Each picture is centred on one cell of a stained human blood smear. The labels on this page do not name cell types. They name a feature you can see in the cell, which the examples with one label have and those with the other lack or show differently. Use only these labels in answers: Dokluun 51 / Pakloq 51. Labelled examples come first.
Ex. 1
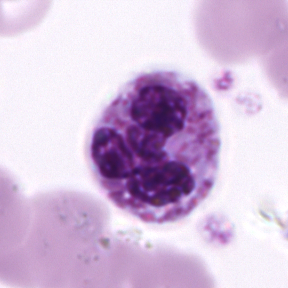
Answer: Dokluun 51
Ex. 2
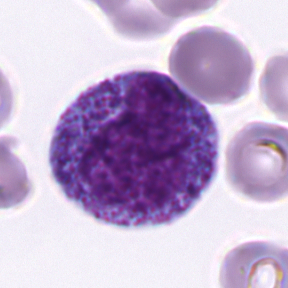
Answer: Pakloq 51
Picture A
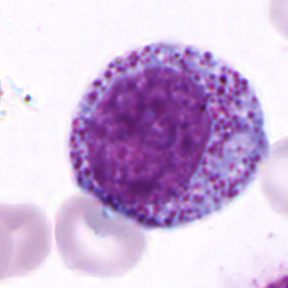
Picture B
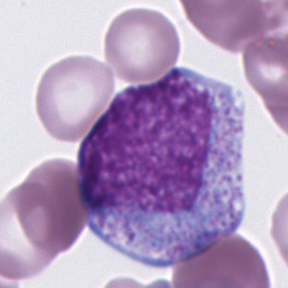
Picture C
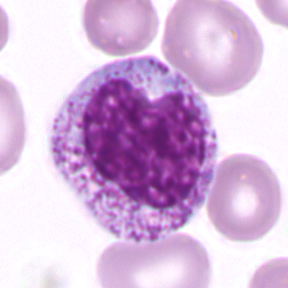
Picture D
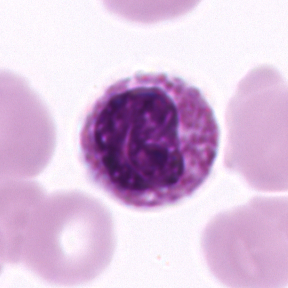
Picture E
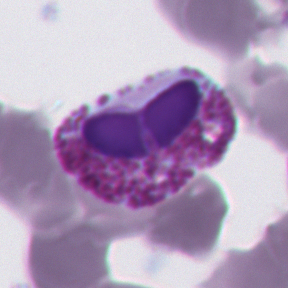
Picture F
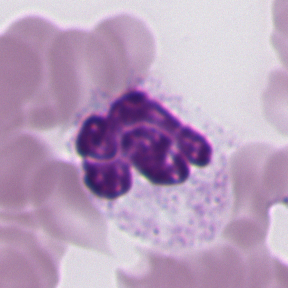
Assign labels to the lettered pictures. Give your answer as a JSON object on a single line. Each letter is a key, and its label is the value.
{"A": "Pakloq 51", "B": "Dokluun 51", "C": "Dokluun 51", "D": "Dokluun 51", "E": "Pakloq 51", "F": "Dokluun 51"}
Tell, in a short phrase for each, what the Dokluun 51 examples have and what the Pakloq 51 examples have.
Seen in Dokluun 51: fine or small granules; seen in Pakloq 51: coarse or large granules.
